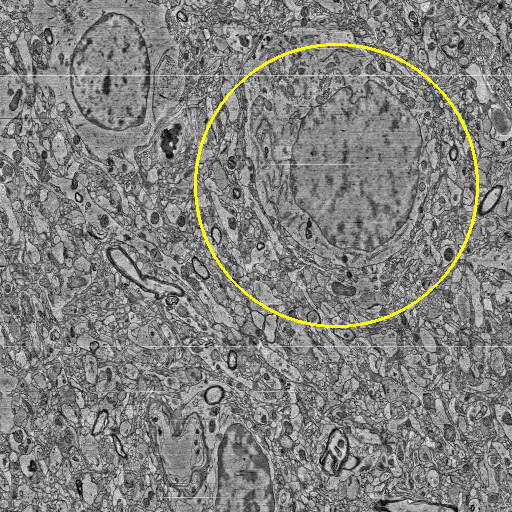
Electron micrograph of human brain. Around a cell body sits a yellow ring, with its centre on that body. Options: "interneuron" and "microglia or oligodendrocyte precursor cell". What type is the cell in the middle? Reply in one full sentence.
The cell sitting at the centre of the yellow ring is an interneuron.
